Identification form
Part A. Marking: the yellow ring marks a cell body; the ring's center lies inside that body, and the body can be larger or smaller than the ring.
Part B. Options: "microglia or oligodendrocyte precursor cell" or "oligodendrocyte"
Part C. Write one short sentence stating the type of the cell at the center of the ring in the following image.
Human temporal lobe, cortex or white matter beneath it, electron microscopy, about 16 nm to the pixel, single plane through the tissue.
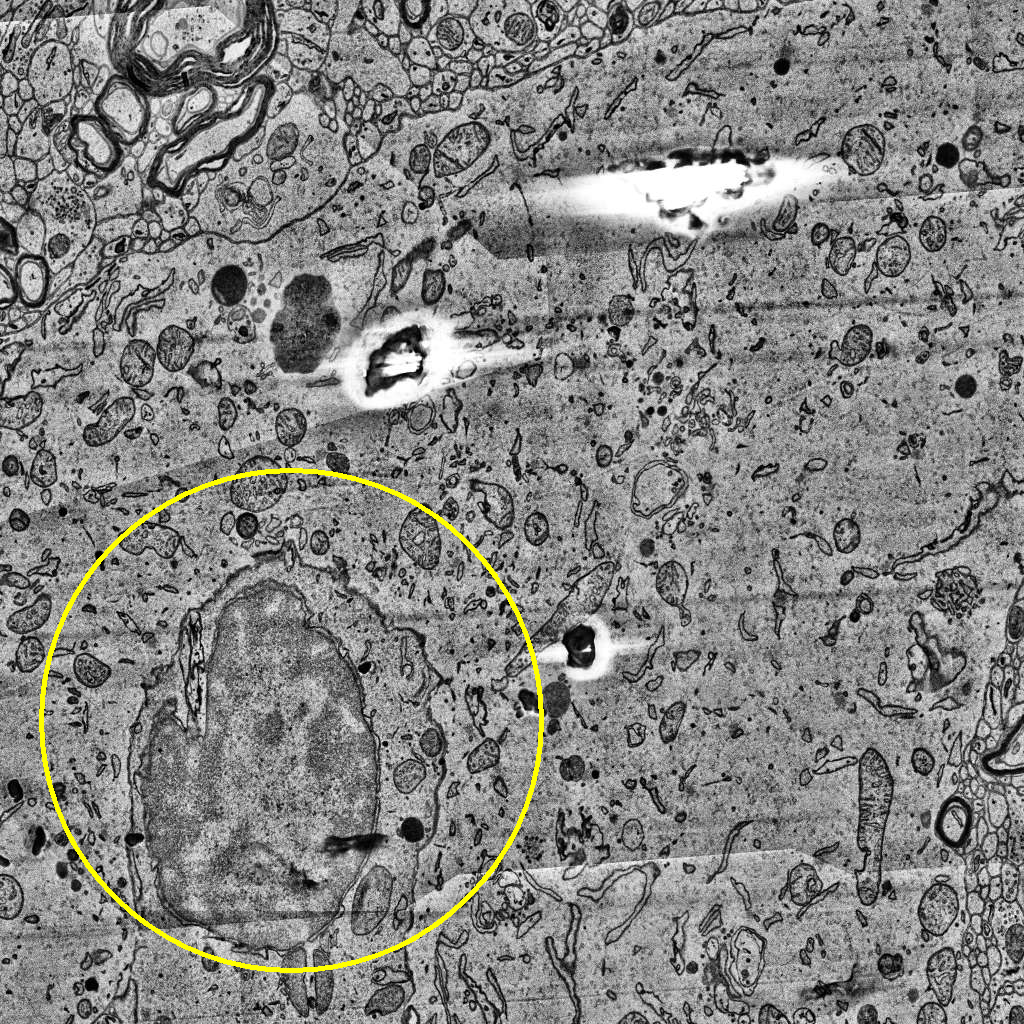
The center of the ring holds an oligodendrocyte.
